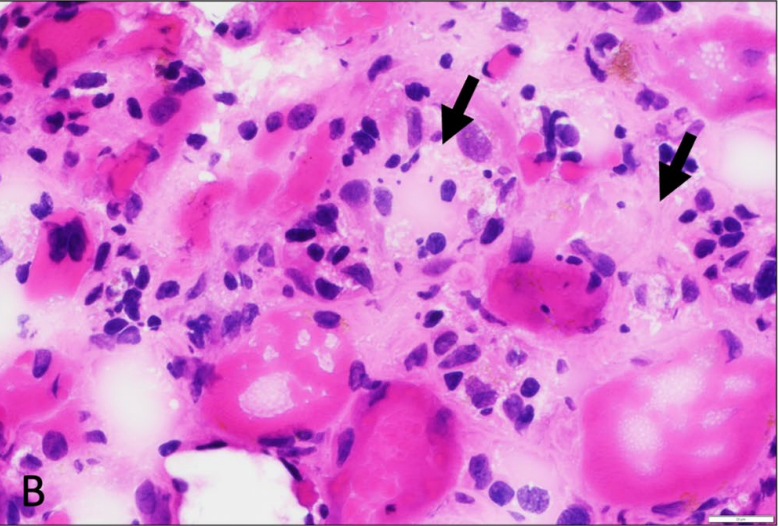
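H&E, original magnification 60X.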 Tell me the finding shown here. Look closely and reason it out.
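Many mononuclear cells fill the spaces between muscle fibers. Some cells have small round dark nuclei, others larger oval or bean-shaped paler nuclei.
Hence: lymphocytic and histiocytic inflammation.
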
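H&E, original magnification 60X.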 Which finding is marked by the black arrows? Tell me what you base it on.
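The marked areas are pale, washed-out pink with granular, fragmented texture. Mononuclear cells lie within and around the pale areas. So: Necrotic fibers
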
